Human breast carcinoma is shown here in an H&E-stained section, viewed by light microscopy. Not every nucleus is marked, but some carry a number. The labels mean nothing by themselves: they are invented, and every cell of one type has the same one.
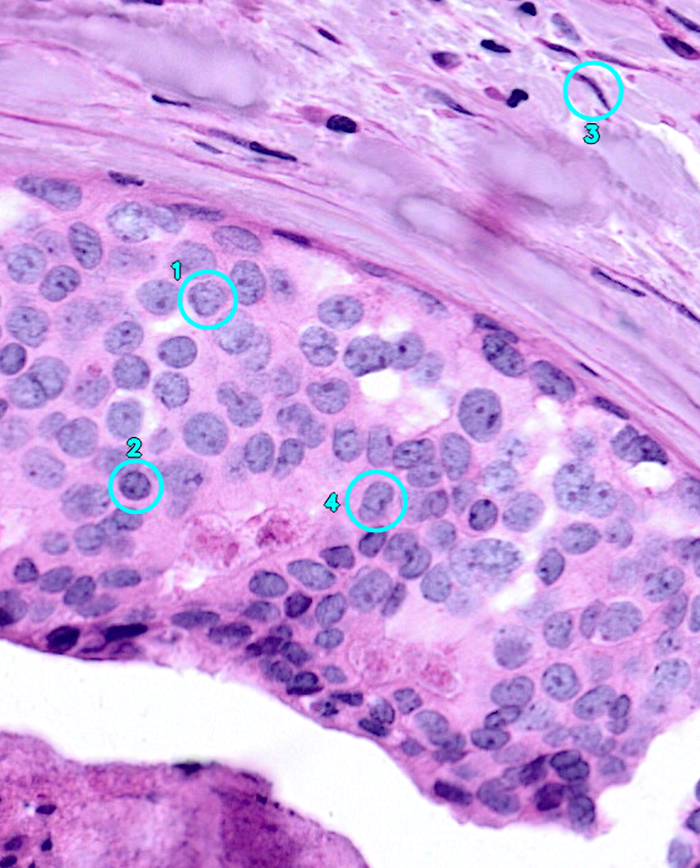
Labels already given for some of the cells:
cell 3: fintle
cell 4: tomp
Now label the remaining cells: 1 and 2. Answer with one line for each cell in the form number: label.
1: tomp
2: tomp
